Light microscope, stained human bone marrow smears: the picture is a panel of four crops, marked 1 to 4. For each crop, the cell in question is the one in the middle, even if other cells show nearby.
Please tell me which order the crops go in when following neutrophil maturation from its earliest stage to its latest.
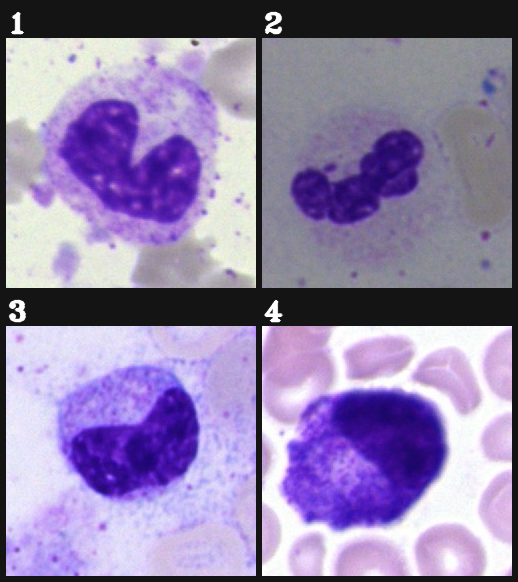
4, 3, 1, 2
